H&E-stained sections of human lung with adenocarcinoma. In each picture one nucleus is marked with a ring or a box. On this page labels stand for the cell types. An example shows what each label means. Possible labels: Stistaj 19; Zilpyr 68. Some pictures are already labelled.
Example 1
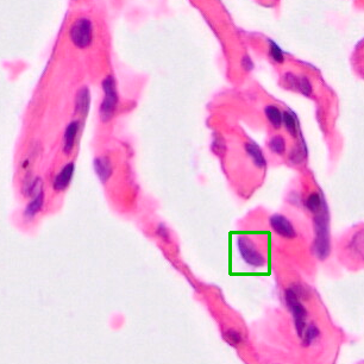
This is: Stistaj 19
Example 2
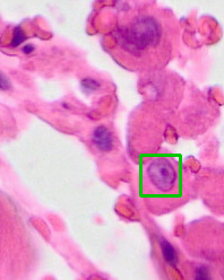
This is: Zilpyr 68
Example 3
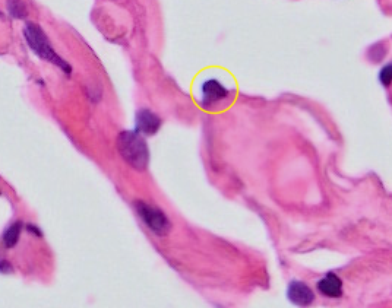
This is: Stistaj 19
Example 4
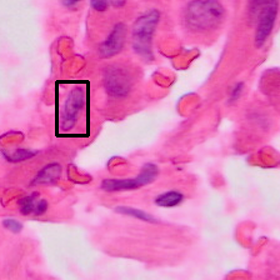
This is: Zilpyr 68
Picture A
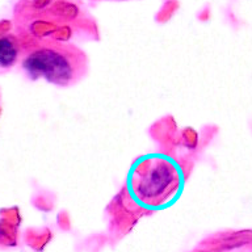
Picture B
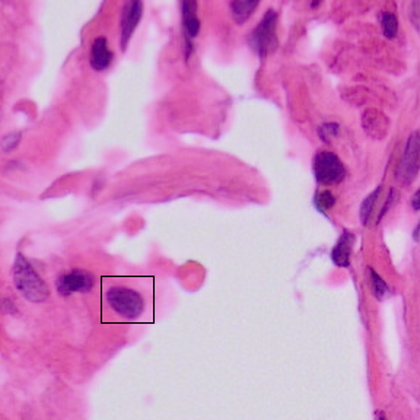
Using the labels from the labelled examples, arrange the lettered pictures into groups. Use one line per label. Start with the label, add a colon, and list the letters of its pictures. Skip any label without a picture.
Stistaj 19: B
Zilpyr 68: A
